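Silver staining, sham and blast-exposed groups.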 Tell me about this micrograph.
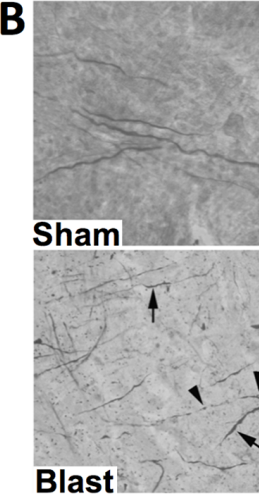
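In the upper field a few axons run as dark, smooth threads of even width across the tissue. In the lower field many thin fibres run in different directions, and some of them are not even. Along several fibres there are thickened, swollen stretches.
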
